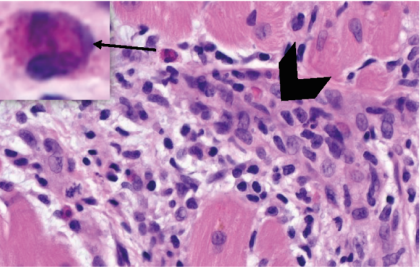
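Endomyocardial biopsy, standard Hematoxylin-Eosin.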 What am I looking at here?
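Heart muscle with a dense inflammatory infiltrate filling the interstitium between pink cardiac muscle fibres, which appear at the edges of the field. The infiltrate consists of many closely packed cells with small round to oval dark purple nuclei, mixed with scattered cells whose cytoplasm is bright pink-red and granular. An enlarged inset shows one such cell: a lobed dark nucleus surrounded by coarse reddish granules, typical of an eosinophilic granulocyte. The muscle fibres keep their pink cytoplasm and central oval nuclei, but are pushed apart by the crowded inflammatory cells.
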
